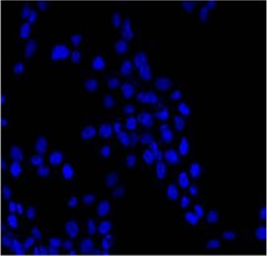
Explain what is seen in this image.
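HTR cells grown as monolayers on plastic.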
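Here are many cultured cells seen only by their nuclei, which glow evenly blue against a dark background. The nuclei are oval to rounded, of fairly uniform size, and smooth in outline, with no sign of fragmentation. Some are gathered into loose clusters and branching strands, while broad dark gaps between them hold no nuclei.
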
